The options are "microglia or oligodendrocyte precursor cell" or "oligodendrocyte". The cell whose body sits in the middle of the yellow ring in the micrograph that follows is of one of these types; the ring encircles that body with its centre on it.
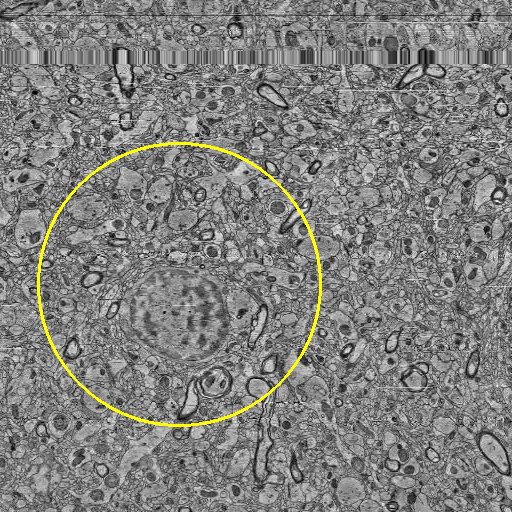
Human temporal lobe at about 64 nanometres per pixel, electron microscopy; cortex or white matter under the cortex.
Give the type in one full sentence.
Going by the micrograph, the cell centred in the yellow ring is an oligodendrocyte.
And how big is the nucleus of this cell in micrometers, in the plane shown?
In this plane, approximately 6 micrometres across.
